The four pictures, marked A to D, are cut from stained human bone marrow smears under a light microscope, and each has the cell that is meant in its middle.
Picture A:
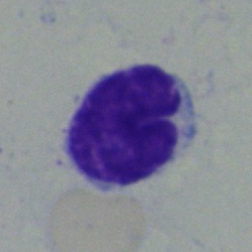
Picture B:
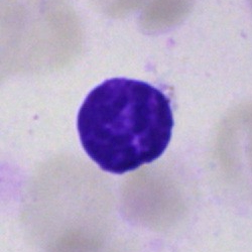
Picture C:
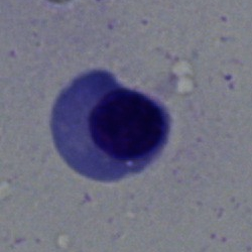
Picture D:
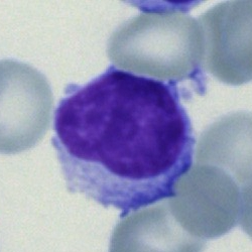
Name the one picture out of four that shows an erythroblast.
C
